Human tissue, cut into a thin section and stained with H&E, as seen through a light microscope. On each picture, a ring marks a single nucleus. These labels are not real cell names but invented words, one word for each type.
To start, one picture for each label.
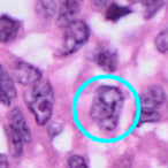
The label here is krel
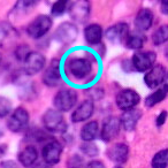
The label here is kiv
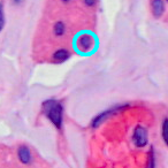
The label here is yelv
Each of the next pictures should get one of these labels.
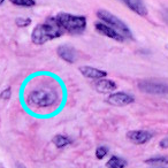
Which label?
yelv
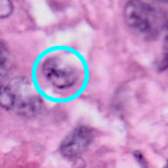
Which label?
krel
